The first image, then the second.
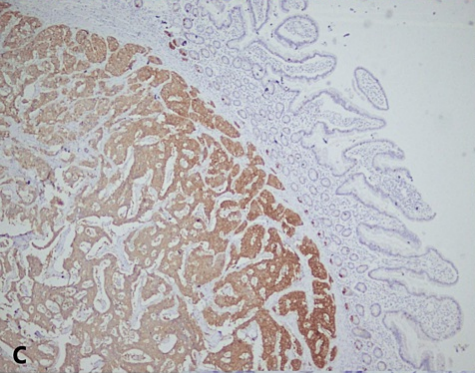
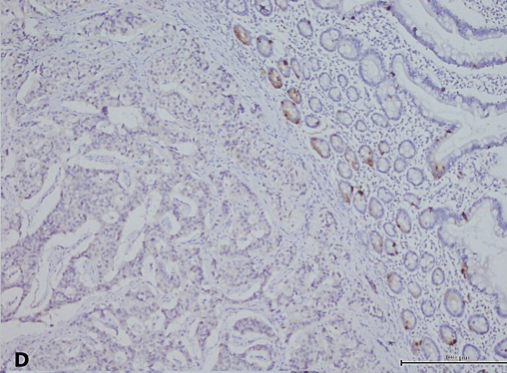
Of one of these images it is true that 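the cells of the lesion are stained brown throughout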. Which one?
the first image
